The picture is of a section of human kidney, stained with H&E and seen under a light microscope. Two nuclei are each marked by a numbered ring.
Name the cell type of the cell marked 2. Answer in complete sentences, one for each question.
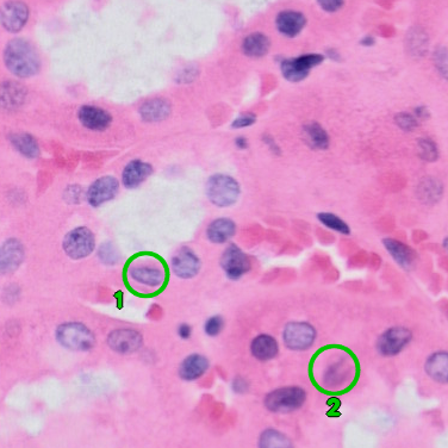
The expected answer is that cell 2 is a proximal tubule cell.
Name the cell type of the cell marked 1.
Identified as a loop of Henle or distal tubule cell is the cell bearing the number 1.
